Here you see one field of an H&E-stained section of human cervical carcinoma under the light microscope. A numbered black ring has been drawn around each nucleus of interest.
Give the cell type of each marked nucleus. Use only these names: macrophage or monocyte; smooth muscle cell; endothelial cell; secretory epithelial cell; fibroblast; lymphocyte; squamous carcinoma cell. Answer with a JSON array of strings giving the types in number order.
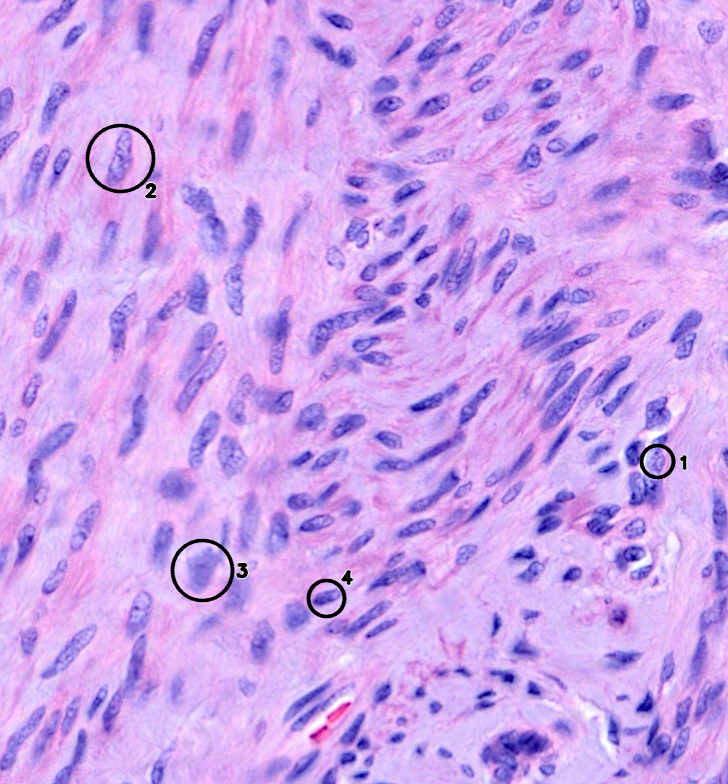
["endothelial cell", "smooth muscle cell", "fibroblast", "fibroblast"]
